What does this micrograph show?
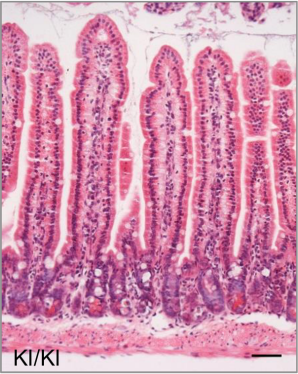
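Small intestinal mucosa shows closely spaced, long, finger-like villi above a layer of tubular crypts. The villi are lined by a single row of tall columnar epithelial cells with dark purple, basally placed oval nuclei and pink cytoplasm; pale goblet cells are interspersed. The crypts at the base are packed with cells, some containing bright red cytoplasmic granules near the crypt bottoms. A thin pink muscular layer lines the lower edge of the section.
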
